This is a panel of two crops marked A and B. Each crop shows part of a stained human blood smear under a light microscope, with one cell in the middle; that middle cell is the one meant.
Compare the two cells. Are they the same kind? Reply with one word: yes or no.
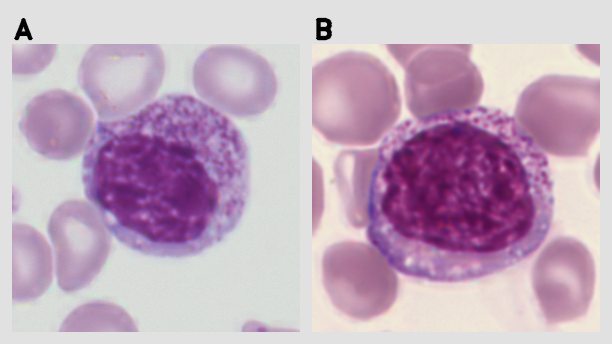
yes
